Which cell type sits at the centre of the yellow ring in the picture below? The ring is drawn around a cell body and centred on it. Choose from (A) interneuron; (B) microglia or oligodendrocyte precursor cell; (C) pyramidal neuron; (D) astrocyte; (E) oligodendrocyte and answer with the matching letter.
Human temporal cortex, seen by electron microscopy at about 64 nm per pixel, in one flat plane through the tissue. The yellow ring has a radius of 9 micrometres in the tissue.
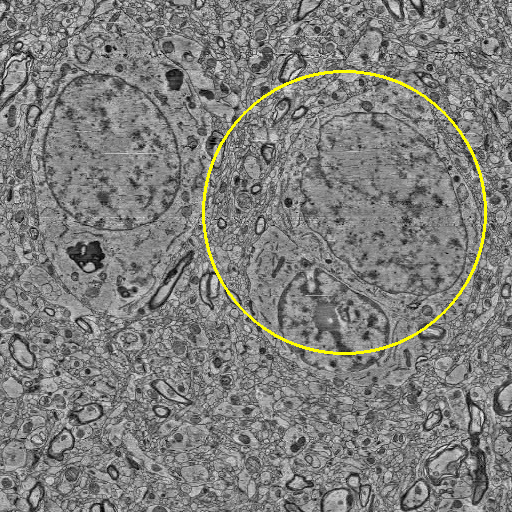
C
